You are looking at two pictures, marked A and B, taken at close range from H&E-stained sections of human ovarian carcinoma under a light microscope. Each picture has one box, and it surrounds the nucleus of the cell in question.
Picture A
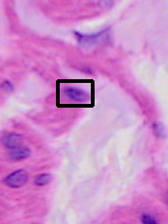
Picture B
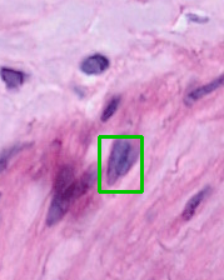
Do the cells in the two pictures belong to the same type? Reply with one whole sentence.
Yes, both are smooth muscle cells.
